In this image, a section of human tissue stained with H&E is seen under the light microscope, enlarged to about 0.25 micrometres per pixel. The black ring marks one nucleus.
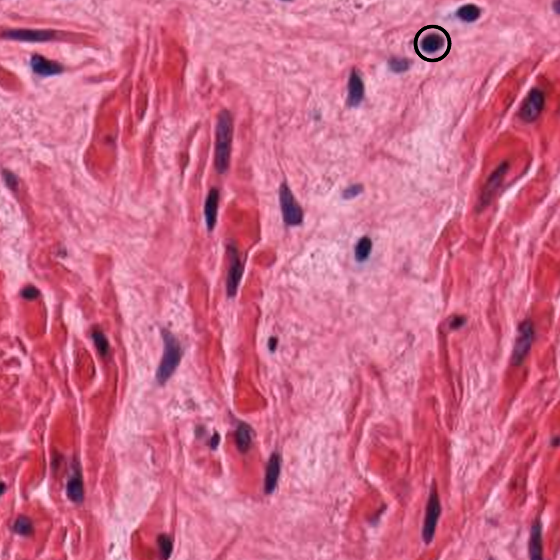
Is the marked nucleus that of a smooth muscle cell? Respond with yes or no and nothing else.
no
